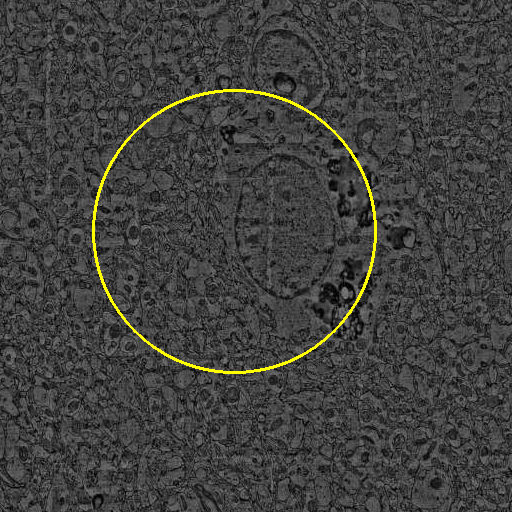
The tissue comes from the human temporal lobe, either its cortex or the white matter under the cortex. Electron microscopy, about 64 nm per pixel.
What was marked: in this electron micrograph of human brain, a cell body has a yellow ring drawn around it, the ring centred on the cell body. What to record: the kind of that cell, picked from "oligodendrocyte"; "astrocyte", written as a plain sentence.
The centred cell is an astrocyte.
